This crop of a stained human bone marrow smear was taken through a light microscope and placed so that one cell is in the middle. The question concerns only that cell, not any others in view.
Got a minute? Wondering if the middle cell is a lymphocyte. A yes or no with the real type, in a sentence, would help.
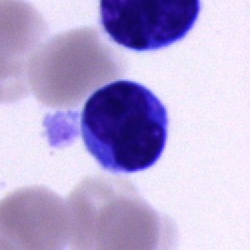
Yes, the cell centred in the field of view is a lymphocyte.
